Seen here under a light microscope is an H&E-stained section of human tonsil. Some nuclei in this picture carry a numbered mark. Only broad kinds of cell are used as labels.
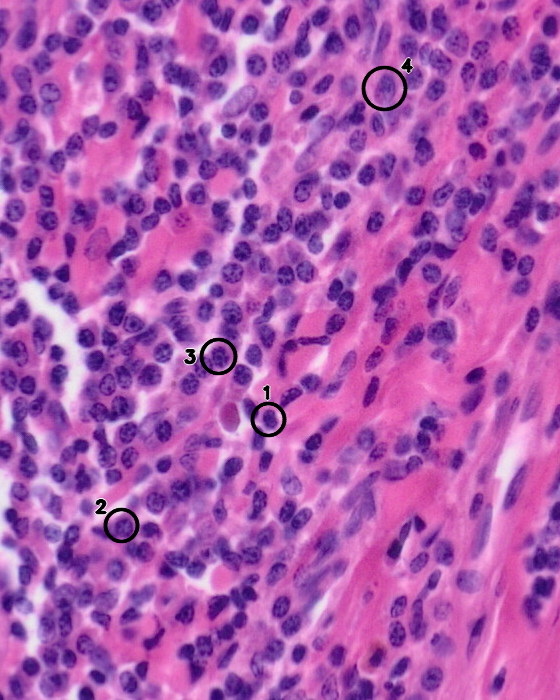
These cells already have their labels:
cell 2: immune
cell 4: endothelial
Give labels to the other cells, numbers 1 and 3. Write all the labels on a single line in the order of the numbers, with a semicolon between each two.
immune; immune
